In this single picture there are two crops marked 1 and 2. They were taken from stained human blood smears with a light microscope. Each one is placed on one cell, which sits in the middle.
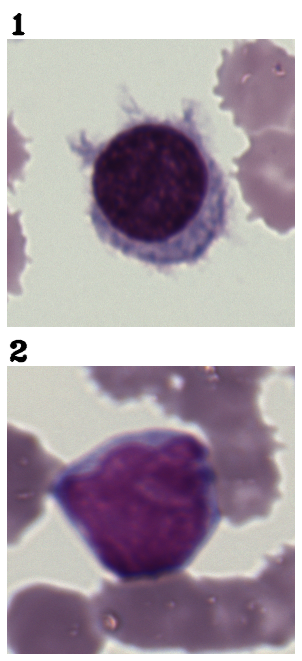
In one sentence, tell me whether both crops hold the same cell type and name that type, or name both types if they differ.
No, it is crop 1 that shows a hairy cell, and crop 2 that shows a myeloblast.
